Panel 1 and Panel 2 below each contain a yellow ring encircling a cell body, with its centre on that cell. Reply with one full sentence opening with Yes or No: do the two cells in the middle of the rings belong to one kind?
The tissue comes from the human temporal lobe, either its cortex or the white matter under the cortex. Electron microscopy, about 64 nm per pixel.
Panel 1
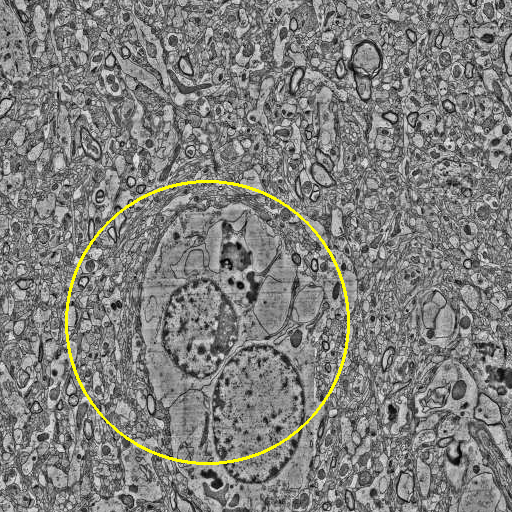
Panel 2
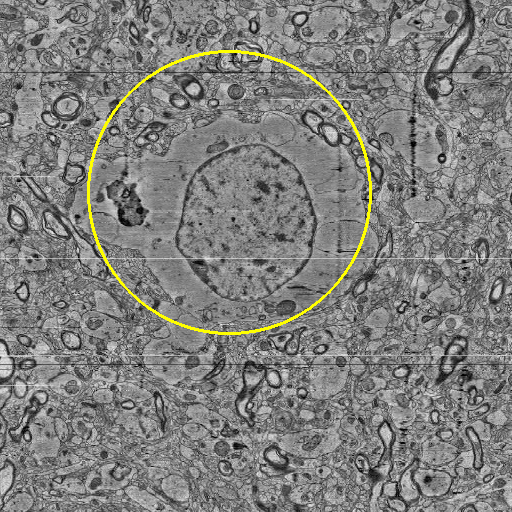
Yes, the cells at the middle of the Panel 1 ring and the Panel 2 ring are of one kind.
